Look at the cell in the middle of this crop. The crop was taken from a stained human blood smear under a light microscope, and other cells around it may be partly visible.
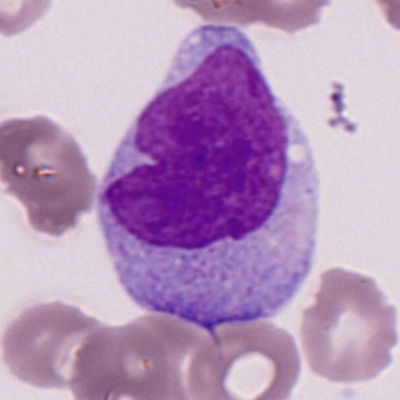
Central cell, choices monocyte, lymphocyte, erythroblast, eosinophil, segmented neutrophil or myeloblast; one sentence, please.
The identification for the central cell is a monocyte.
